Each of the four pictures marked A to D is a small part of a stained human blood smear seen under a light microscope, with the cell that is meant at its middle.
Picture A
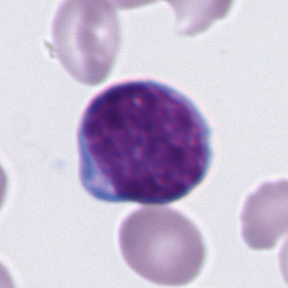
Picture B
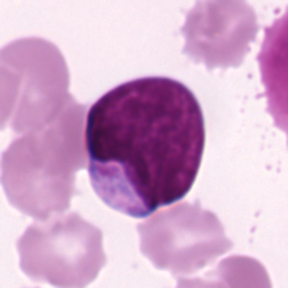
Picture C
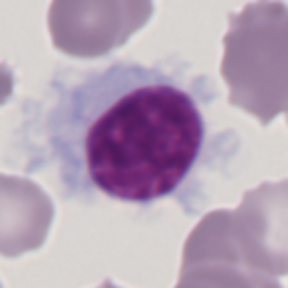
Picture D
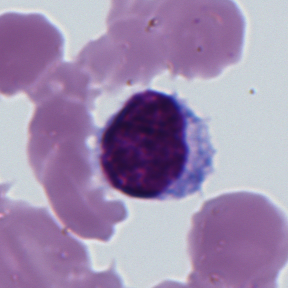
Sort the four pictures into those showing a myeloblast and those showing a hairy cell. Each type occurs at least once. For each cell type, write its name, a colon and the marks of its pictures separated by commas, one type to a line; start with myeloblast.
myeloblast: A, B
hairy cell: C, D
